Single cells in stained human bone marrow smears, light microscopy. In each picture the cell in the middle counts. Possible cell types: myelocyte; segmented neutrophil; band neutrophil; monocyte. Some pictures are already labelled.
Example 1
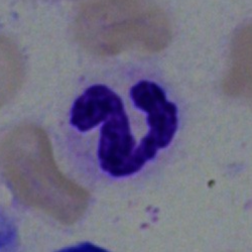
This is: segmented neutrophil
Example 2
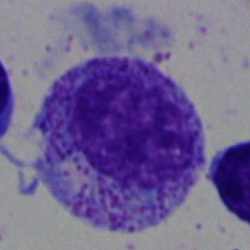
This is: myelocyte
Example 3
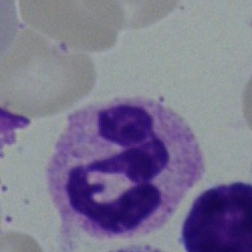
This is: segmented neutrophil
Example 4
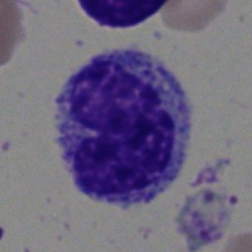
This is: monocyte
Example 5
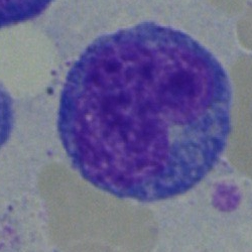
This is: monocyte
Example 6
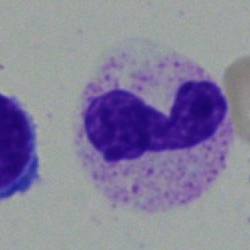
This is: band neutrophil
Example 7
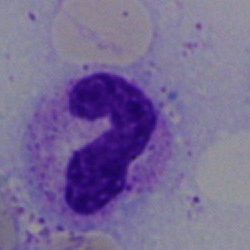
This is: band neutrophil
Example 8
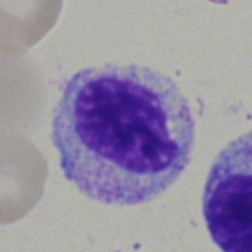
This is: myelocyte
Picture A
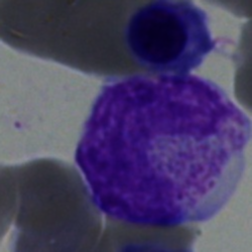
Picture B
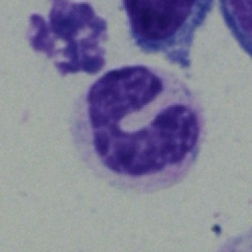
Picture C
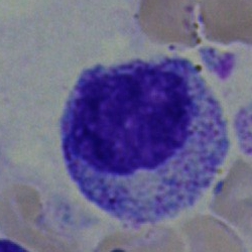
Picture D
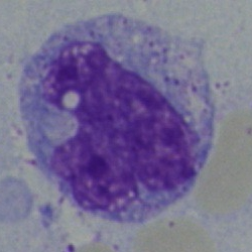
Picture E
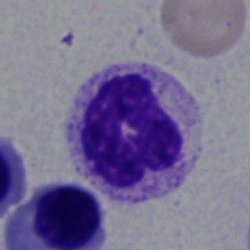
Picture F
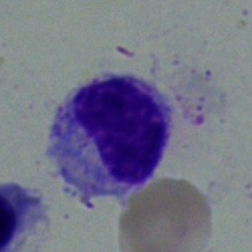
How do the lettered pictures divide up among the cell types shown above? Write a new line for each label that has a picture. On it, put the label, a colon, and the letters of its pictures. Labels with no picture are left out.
myelocyte: C, F
band neutrophil: A, B, E
monocyte: D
